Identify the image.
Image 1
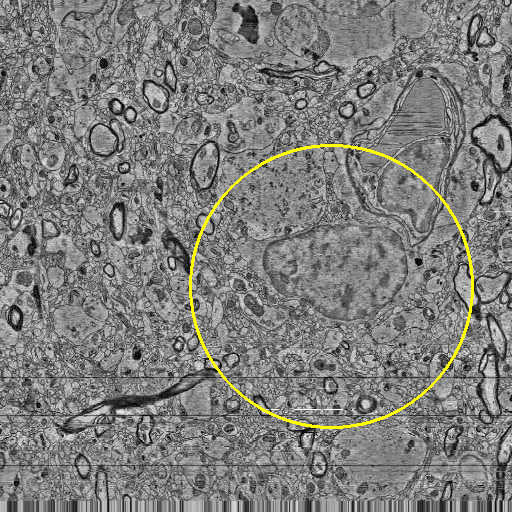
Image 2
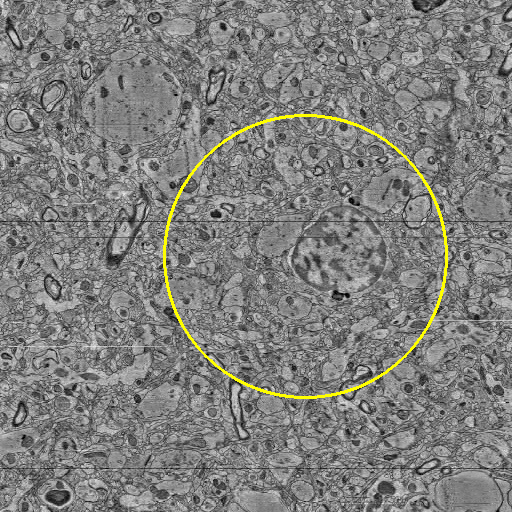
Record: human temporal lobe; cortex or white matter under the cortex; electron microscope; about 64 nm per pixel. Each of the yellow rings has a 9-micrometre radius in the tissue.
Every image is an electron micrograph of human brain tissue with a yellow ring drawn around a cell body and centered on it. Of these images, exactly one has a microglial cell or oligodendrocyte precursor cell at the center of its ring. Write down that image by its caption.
Image 2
